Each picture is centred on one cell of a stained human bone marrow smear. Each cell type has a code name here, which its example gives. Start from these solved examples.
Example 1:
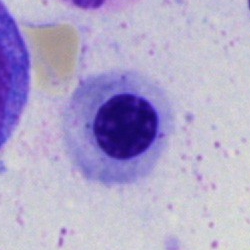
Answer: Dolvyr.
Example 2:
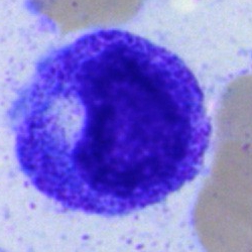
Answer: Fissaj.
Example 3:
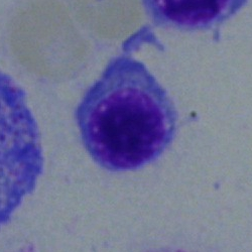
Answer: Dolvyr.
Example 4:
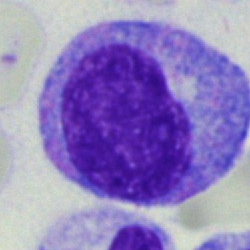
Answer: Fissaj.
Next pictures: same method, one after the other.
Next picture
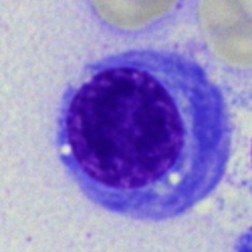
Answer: Dolvyr.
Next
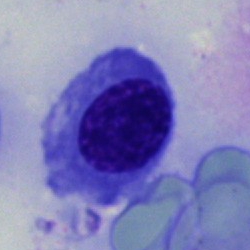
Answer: Dolvyr.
